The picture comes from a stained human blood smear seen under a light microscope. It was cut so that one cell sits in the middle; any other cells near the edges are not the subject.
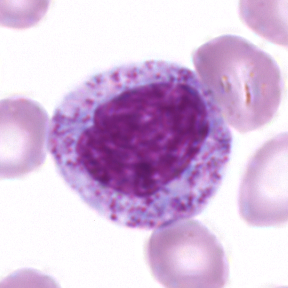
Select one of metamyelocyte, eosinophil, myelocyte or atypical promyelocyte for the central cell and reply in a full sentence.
What sits at the centre of this crop is a myelocyte.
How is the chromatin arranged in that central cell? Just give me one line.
Here the nuclear chromatin is coarsely clumped.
